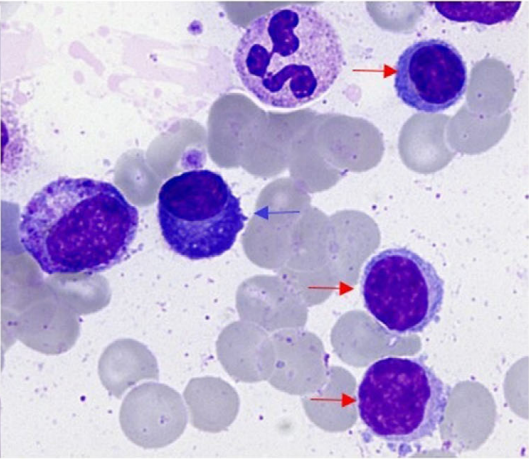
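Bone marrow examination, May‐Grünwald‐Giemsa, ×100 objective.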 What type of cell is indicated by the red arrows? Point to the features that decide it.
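Lymphocytes. Small round cells about the size of nearby red cells or a little larger. Round nucleus filling most of the cell. Thin rim of blue cytoplasm.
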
